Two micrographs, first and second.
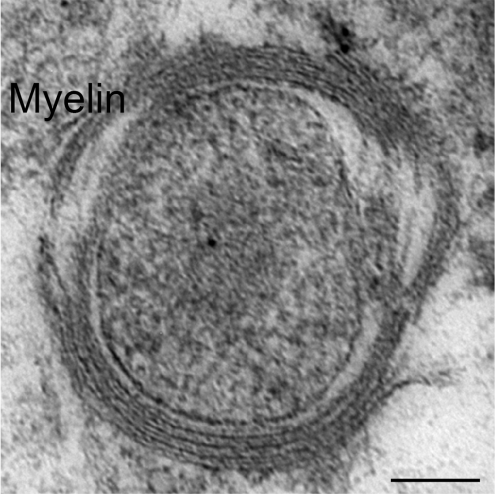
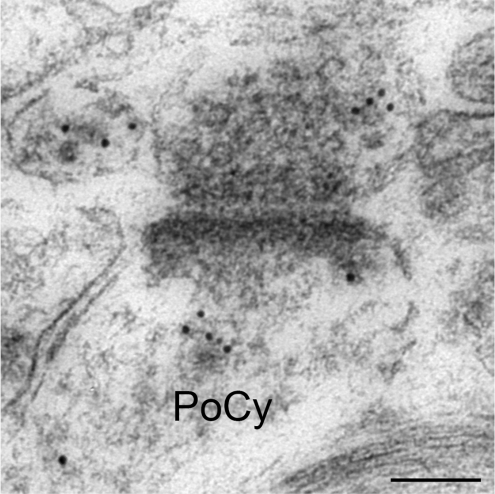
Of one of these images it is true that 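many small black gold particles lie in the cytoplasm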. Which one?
The second image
